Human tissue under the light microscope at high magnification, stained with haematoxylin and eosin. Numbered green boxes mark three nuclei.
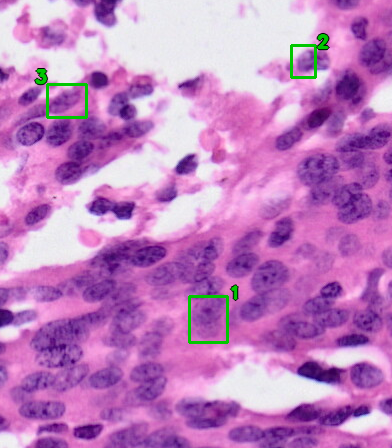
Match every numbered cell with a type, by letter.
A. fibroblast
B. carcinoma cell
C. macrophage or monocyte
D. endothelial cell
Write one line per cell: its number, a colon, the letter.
1: B
2: C
3: B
